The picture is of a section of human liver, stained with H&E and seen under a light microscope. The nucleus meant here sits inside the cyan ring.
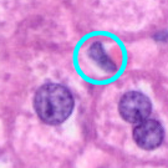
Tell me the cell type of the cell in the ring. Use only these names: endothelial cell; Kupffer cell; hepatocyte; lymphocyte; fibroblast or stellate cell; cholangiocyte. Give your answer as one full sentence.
In terms of identity, the cell in the ring is an endothelial cell.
